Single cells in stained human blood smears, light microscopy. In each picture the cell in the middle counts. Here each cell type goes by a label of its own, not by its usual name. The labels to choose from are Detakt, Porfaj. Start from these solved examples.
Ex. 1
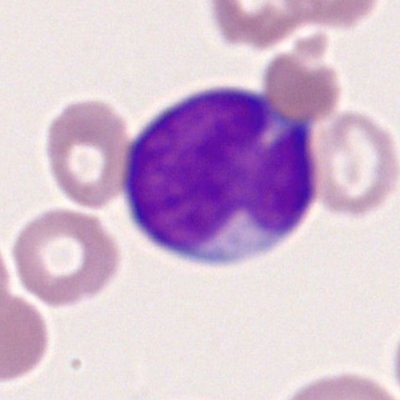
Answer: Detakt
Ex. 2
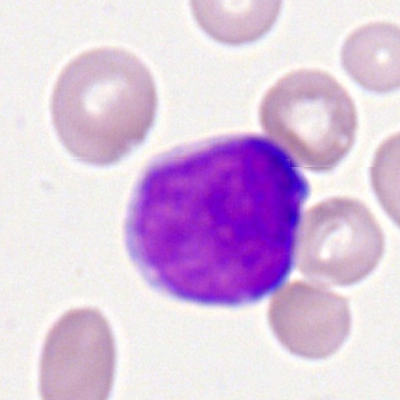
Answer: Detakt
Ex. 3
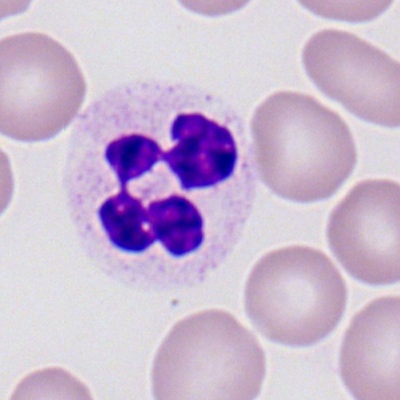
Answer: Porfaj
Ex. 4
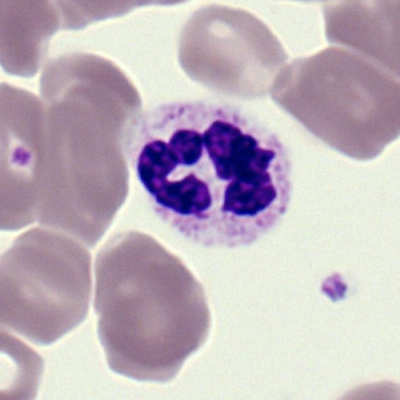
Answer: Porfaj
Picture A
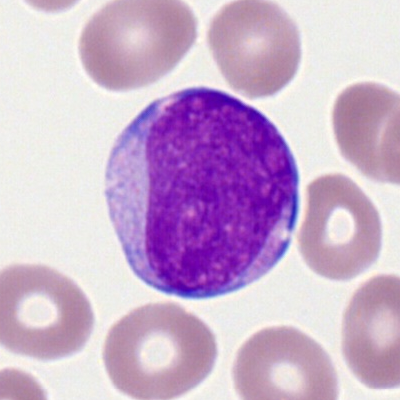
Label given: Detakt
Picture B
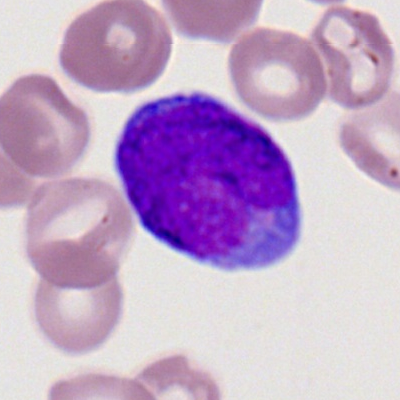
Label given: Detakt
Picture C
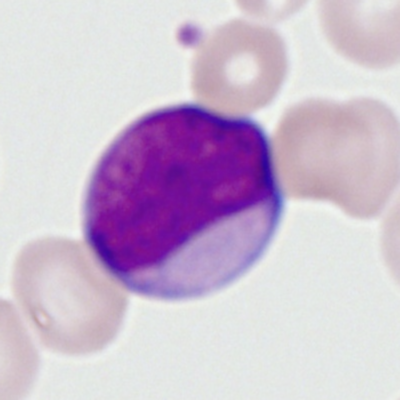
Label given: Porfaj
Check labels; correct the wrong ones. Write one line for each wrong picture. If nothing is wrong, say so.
Wrong: C (Porfaj); correct: Detakt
